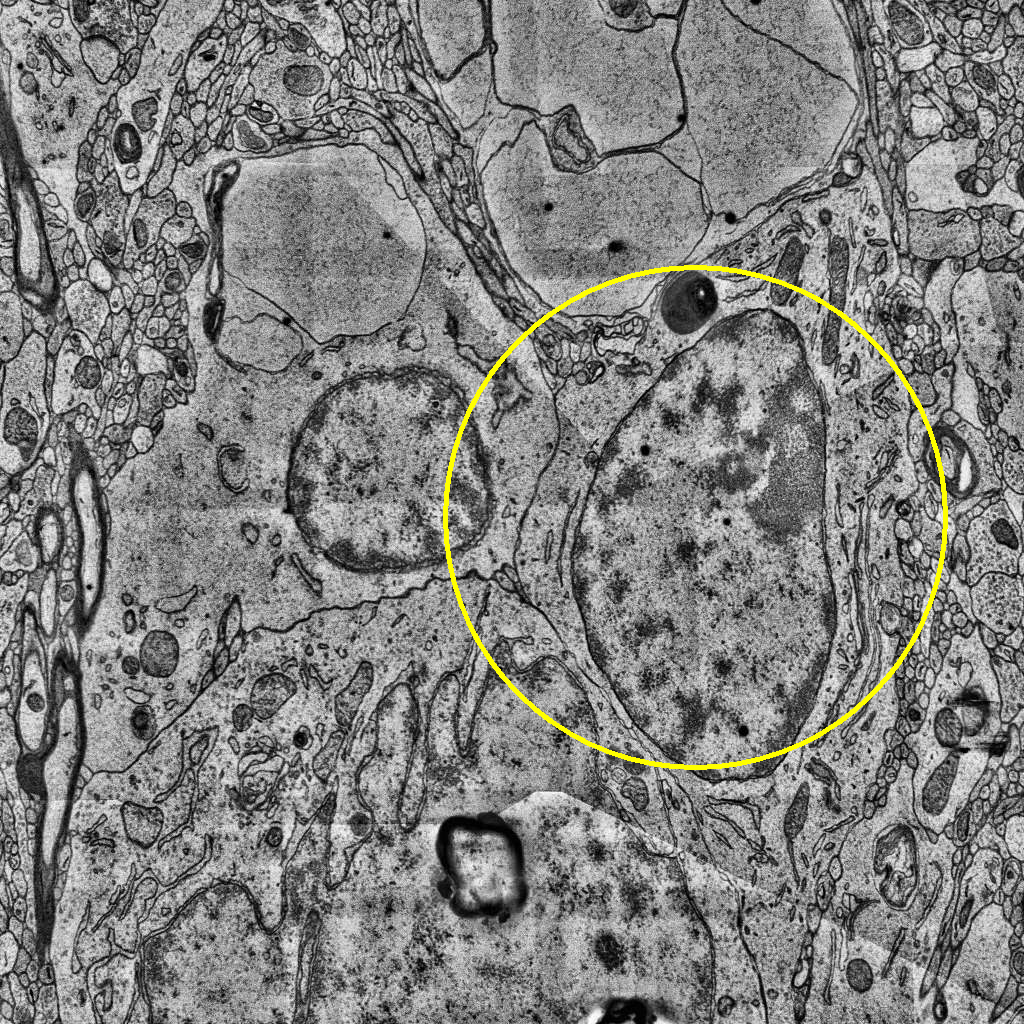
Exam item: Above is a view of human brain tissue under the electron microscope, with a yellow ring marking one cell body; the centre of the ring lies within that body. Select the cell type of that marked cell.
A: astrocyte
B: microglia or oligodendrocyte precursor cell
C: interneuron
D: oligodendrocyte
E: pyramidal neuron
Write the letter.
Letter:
B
